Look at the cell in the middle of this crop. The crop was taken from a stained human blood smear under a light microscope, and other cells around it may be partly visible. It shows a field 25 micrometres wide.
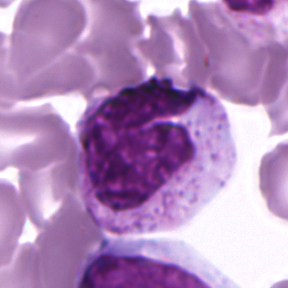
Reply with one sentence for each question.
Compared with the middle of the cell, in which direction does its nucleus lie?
It is shifted toward the upper left of the cell.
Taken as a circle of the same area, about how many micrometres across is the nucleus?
It measures about 10 micrometres across.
